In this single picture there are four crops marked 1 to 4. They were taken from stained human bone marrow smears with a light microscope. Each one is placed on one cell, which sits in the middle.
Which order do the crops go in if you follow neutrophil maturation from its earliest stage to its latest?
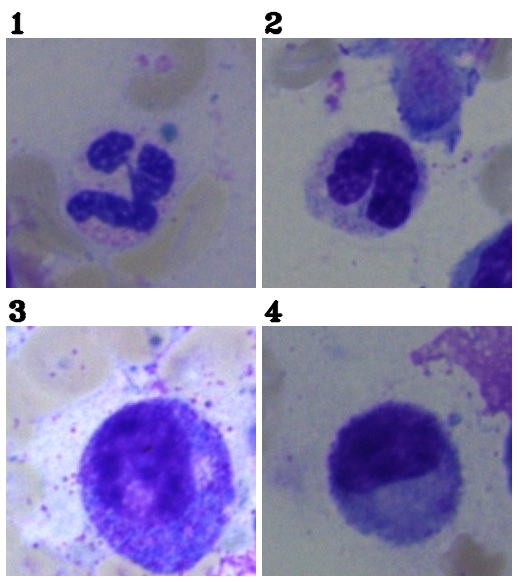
3, 4, 2, 1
